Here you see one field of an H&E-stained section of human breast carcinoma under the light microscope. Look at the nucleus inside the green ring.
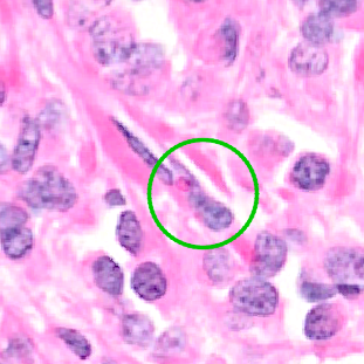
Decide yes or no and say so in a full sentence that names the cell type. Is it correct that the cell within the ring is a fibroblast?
No, it is not a fibroblast but an endothelial cell that the cell within the ring represents.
